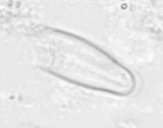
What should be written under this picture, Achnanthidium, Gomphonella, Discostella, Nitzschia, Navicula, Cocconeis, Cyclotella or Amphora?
Achnanthidium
